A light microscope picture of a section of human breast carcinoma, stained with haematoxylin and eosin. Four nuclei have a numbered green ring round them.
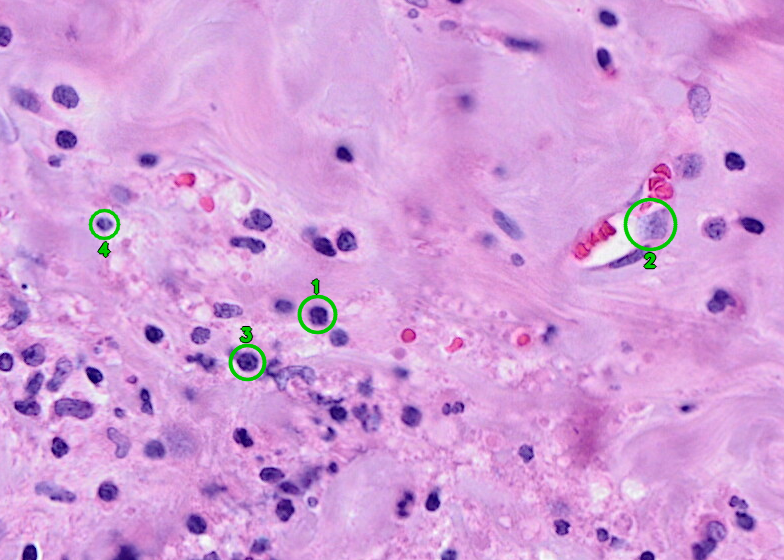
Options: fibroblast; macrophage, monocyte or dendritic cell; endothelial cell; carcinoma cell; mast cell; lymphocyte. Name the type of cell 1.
lymphocyte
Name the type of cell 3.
lymphocyte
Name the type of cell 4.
lymphocyte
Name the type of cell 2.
endothelial cell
